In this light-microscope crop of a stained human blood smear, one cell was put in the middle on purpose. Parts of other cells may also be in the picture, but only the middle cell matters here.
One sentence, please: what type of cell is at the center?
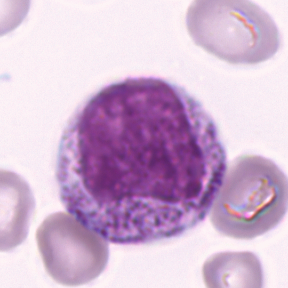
Classified as a myelocyte is the cell in the middle of this crop.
